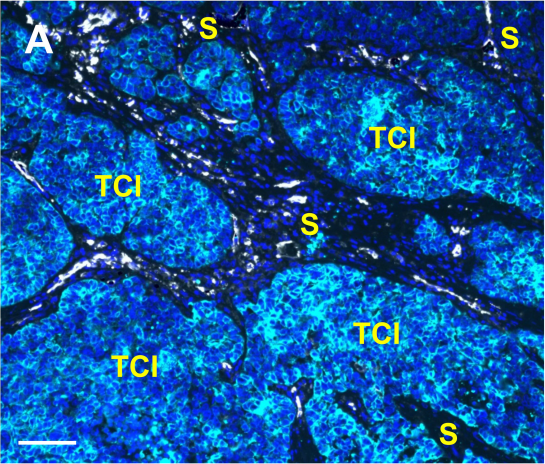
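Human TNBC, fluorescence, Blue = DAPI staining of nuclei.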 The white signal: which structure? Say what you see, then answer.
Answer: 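Blood vessels. White-stained slender and branching profiles. They lie mostly in the dark bands between the large cyan-stained cell nests.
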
